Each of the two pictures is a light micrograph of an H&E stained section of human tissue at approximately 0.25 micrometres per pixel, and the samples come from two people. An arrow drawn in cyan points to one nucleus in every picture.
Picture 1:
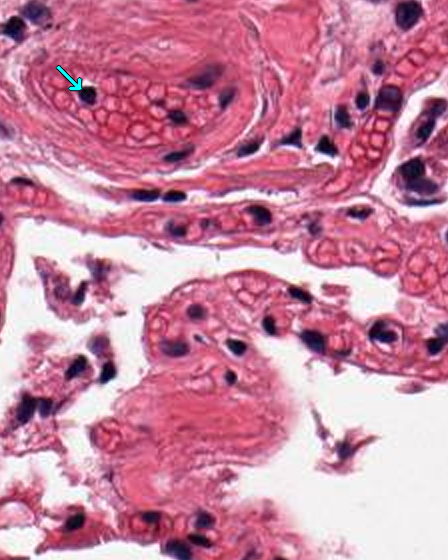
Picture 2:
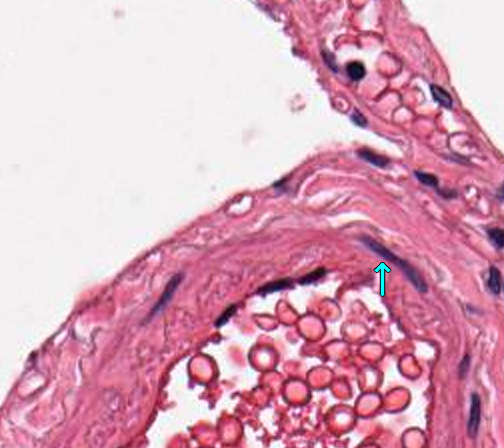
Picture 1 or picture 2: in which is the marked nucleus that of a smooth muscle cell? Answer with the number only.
2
